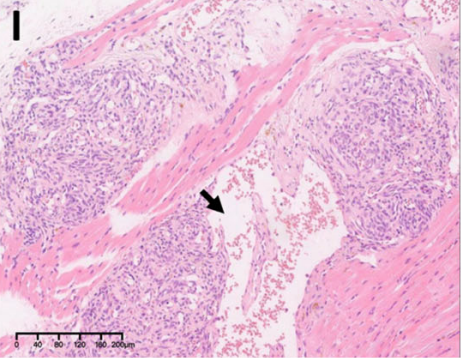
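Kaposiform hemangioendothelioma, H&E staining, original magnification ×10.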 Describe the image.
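This section shows neoplastic cells arranged in several rounded nodules within muscle, in an infiltrative, multinodular pattern. Each nodule is made of closely packed cells with oval to elongated purple nuclei. Between the nodules run pink muscle bundles. Open thin-walled luminal channels lie between the nodules, some filled with red blood cells.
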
